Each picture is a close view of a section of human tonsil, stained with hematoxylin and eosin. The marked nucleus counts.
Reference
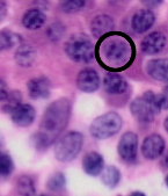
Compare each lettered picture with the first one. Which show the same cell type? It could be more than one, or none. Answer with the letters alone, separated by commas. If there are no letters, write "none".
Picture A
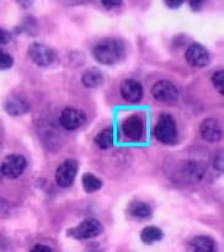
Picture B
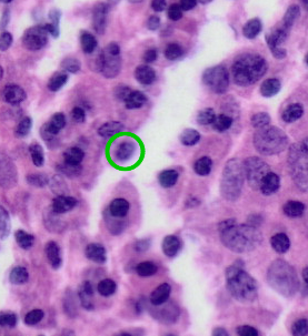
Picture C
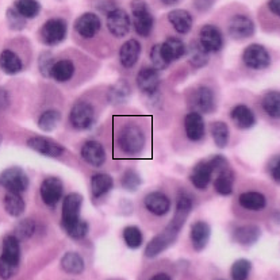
A, B, C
